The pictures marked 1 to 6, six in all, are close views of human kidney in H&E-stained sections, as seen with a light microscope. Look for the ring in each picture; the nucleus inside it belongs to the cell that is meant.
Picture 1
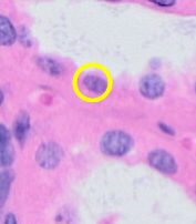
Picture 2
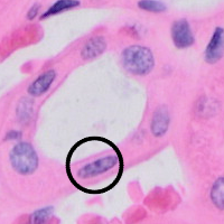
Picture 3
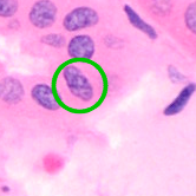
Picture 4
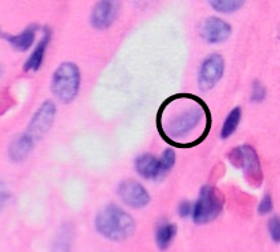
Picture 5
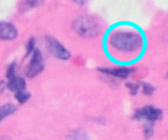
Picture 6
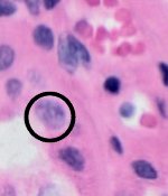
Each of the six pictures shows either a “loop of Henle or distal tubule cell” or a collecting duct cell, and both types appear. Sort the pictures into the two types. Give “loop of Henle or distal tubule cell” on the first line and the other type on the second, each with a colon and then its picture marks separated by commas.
loop of Henle or distal tubule cell: 1, 5
collecting duct cell: 2, 3, 4, 6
